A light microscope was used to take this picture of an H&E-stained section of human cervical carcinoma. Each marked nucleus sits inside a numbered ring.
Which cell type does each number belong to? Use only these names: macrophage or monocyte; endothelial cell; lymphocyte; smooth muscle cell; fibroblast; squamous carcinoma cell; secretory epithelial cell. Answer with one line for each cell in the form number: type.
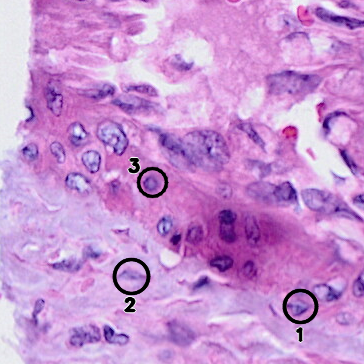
1: smooth muscle cell
2: fibroblast
3: smooth muscle cell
